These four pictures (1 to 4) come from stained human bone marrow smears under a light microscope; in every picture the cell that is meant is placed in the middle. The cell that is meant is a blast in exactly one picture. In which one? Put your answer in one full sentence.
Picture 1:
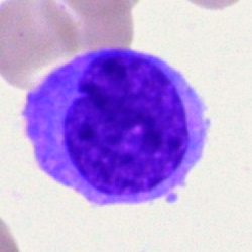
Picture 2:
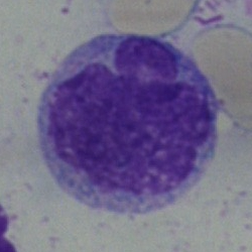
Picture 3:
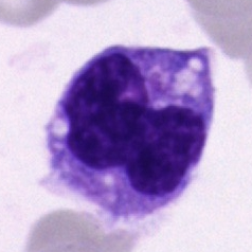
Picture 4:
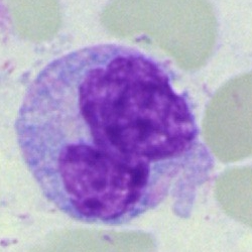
The picture with the blast is 2.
